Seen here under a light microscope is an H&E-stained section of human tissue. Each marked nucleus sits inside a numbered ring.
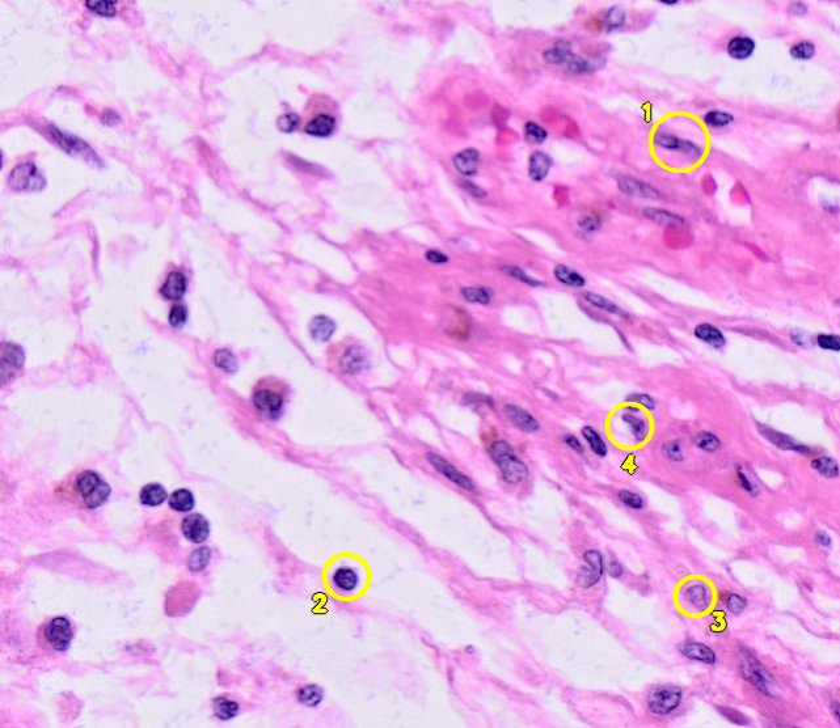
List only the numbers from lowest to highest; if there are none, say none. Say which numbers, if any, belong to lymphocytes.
2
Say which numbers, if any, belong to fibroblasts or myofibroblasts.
4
